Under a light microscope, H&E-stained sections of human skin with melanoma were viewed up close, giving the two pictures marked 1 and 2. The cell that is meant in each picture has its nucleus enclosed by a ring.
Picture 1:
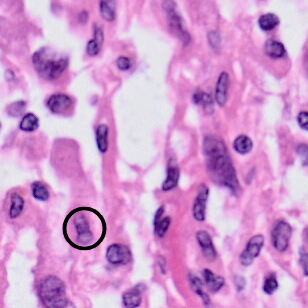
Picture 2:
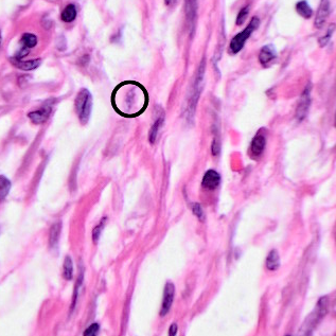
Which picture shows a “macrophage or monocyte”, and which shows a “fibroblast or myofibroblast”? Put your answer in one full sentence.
Picture 2 shows a “fibroblast or myofibroblast”, while picture 1 shows a “macrophage or monocyte”.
